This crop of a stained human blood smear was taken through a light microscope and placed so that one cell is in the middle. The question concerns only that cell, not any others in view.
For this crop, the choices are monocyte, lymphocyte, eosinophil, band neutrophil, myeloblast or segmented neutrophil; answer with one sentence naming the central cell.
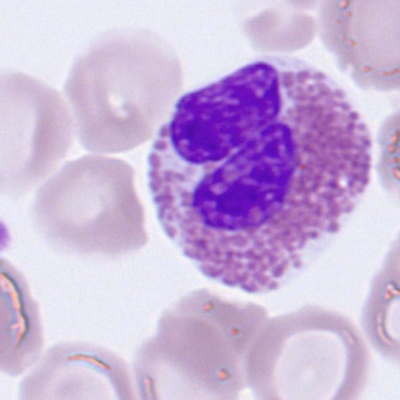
This crop is built around an eosinophil at its centre.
